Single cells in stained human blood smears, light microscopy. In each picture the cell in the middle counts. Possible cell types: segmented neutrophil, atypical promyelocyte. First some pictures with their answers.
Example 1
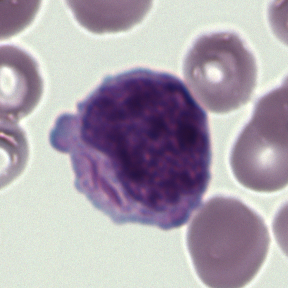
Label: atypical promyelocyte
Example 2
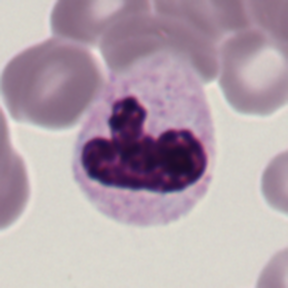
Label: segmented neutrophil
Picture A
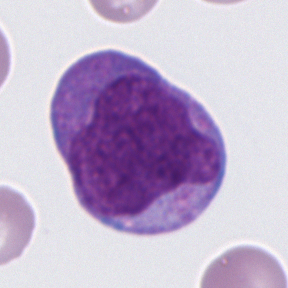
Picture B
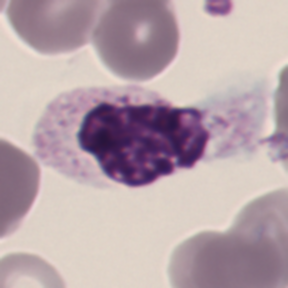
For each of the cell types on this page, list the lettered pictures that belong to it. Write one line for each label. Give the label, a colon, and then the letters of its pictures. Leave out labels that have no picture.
segmented neutrophil: B
atypical promyelocyte: A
